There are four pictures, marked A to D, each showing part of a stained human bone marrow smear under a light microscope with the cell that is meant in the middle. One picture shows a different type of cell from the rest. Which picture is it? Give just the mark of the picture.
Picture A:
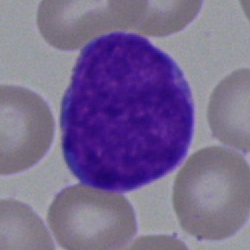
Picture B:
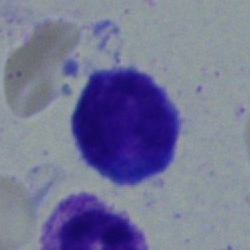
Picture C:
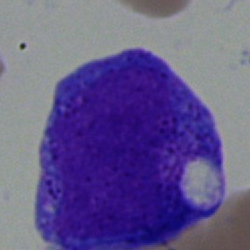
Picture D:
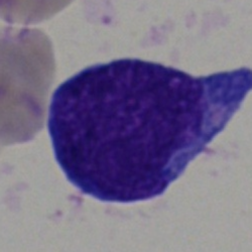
B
